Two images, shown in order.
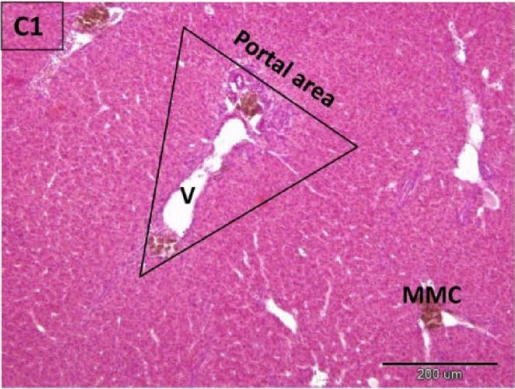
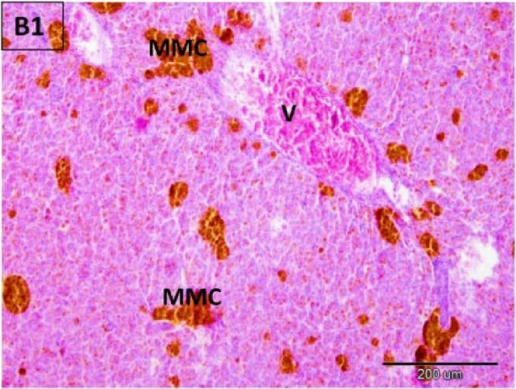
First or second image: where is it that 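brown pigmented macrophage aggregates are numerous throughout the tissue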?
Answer: The second image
